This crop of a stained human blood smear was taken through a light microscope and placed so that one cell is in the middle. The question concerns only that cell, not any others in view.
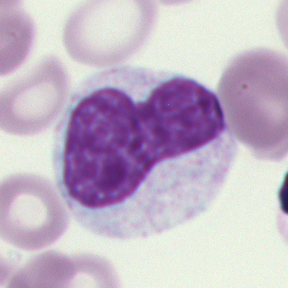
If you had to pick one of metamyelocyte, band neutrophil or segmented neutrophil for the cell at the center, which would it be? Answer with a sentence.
The central cell in this smear crop is a band neutrophil.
